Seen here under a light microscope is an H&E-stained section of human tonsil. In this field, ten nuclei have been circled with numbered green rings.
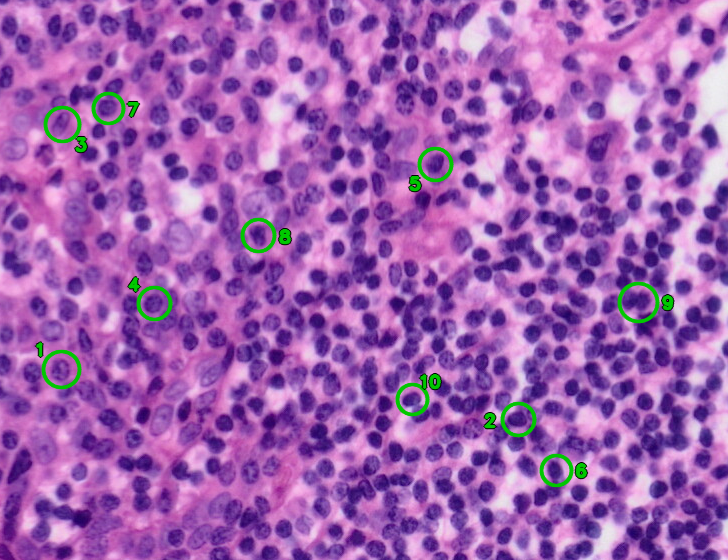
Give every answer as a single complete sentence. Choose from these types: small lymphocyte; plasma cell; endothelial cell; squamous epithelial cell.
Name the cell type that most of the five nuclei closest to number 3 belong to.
Of the five nuclei nearest to number 3, most belong to endothelial cells.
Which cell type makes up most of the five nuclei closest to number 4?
Of the five nuclei nearest to number 4, most belong to squamous epithelial cells.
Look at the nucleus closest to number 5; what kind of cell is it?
Number 5 lies closest to the nucleus of an endothelial cell.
